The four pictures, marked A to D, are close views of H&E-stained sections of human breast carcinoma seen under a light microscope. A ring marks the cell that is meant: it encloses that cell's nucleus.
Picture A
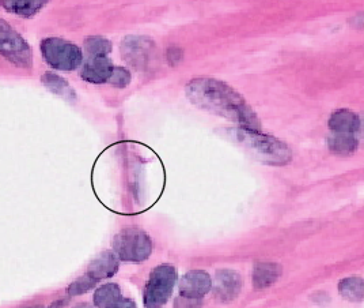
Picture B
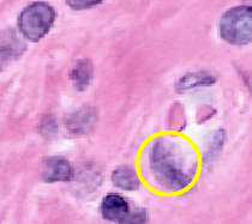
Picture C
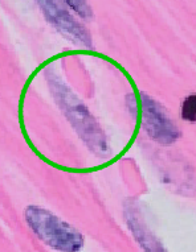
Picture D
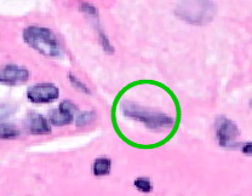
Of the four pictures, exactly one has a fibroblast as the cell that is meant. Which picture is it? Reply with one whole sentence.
It is picture D that shows the fibroblast.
